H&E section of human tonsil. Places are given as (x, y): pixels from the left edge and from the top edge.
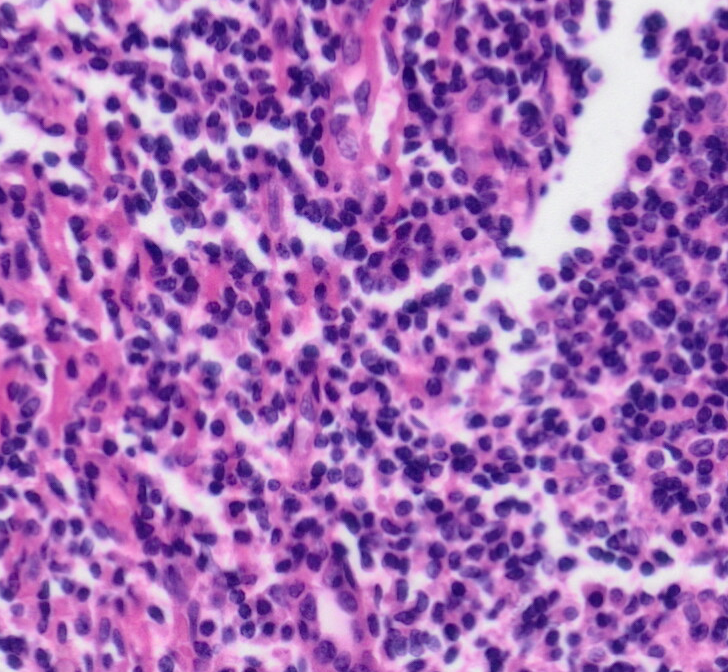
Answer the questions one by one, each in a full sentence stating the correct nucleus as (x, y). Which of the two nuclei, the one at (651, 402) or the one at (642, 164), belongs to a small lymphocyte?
Rather than the other nucleus, the one at (651, 402) belongs to a small lymphocyte.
